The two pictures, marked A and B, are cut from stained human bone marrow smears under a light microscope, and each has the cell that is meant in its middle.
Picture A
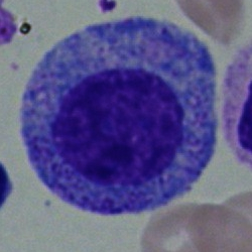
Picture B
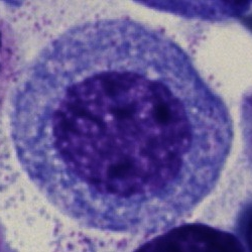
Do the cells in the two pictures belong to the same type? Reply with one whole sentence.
Yes, the two pictures both show promyelocytes.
